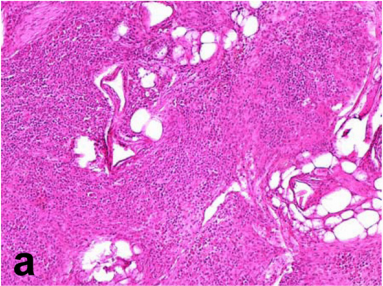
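A broad sheet of tightly packed small cells with dark nuclei occupies most of the field, crossed by a few pink fibrous bands. At the edges, clusters of large empty round spaces mark fat cells trapped at the margin of the cellular mass.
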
